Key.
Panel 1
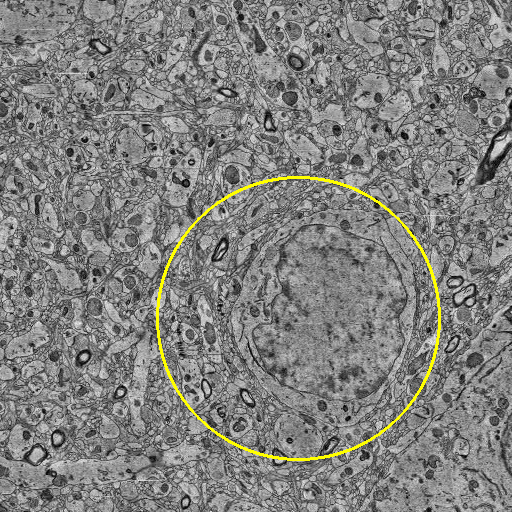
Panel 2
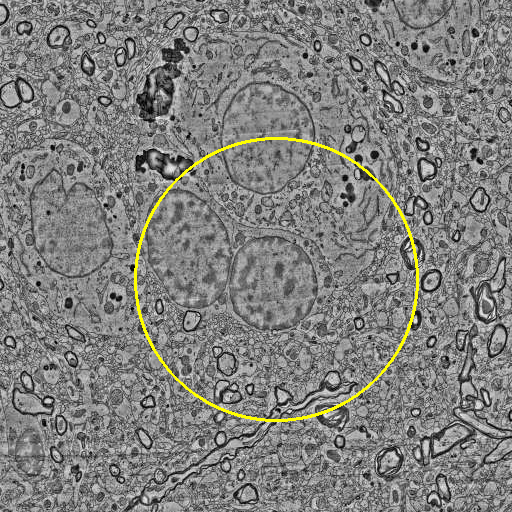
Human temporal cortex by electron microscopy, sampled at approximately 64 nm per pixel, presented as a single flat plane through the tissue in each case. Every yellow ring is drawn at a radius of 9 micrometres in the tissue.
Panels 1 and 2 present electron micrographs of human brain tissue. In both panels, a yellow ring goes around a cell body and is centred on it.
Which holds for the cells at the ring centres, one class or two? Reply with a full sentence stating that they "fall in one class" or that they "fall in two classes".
Taken together, the ring-centre cells of the two panels fall in two classes.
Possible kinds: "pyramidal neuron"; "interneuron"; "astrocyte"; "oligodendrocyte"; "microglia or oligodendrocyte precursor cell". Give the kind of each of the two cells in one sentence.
The cell in the second picture is an oligodendrocyte, and that in the first is an interneuron.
